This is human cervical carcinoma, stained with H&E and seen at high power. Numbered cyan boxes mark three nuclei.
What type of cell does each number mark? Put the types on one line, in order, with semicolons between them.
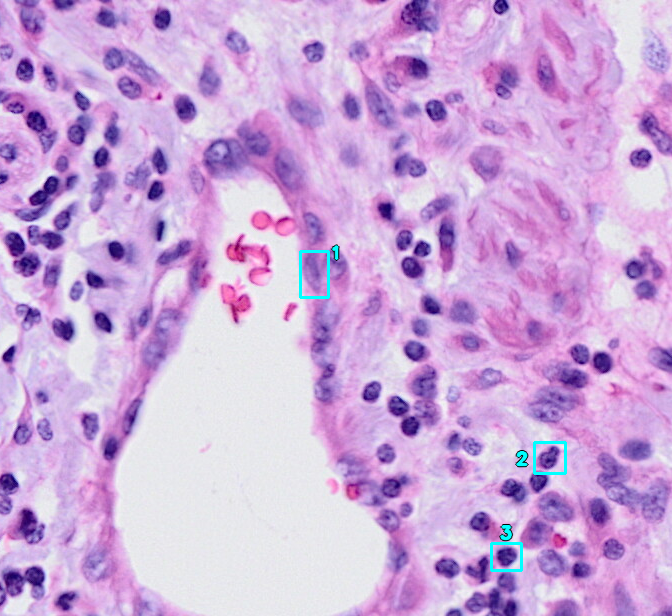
endothelial cell; lymphocyte; lymphocyte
